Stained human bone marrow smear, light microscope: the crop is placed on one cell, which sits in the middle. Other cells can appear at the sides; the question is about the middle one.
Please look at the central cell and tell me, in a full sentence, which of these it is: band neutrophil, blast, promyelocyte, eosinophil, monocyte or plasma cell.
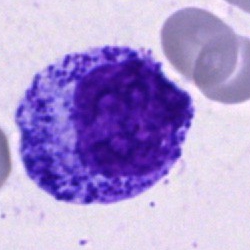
The cell at the middle of the crop is recognized as a promyelocyte.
